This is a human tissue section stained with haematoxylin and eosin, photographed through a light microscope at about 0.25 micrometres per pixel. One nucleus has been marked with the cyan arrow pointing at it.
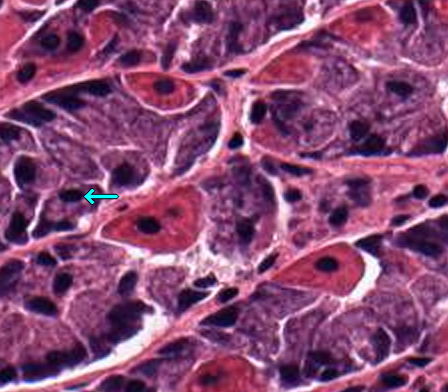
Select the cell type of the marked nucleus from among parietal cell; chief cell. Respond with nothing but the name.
chief cell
